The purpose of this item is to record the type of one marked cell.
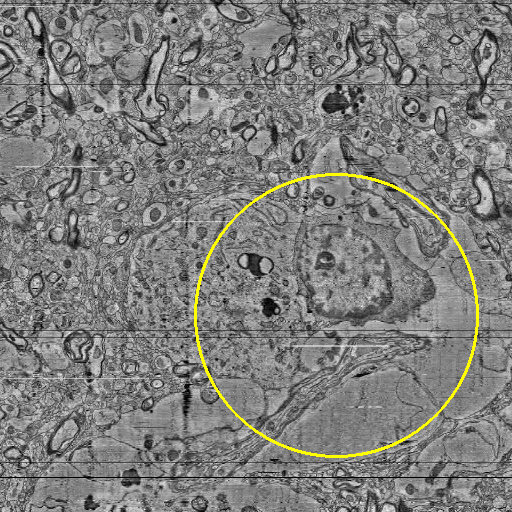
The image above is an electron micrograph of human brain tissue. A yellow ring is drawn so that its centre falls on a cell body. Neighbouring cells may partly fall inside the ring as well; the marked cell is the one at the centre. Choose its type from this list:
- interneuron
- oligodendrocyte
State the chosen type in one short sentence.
What the ring marks here is an oligodendrocyte.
